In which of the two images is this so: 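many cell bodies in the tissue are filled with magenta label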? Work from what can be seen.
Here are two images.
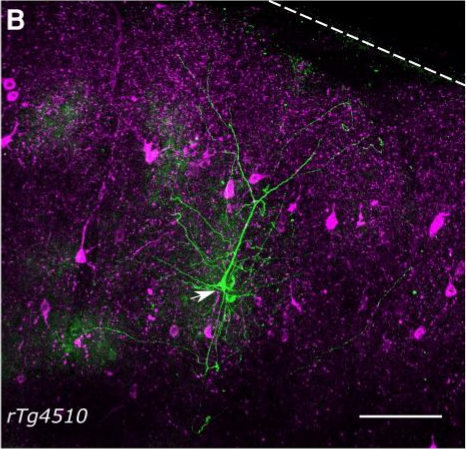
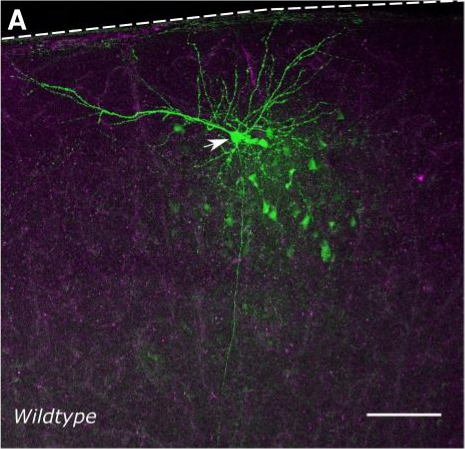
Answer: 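First image: numerous bright magenta cell bodies and processes are scattered around the green neuron. Second image: the background is dim with no magenta-filled cell bodies. On this evidence: the first image.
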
